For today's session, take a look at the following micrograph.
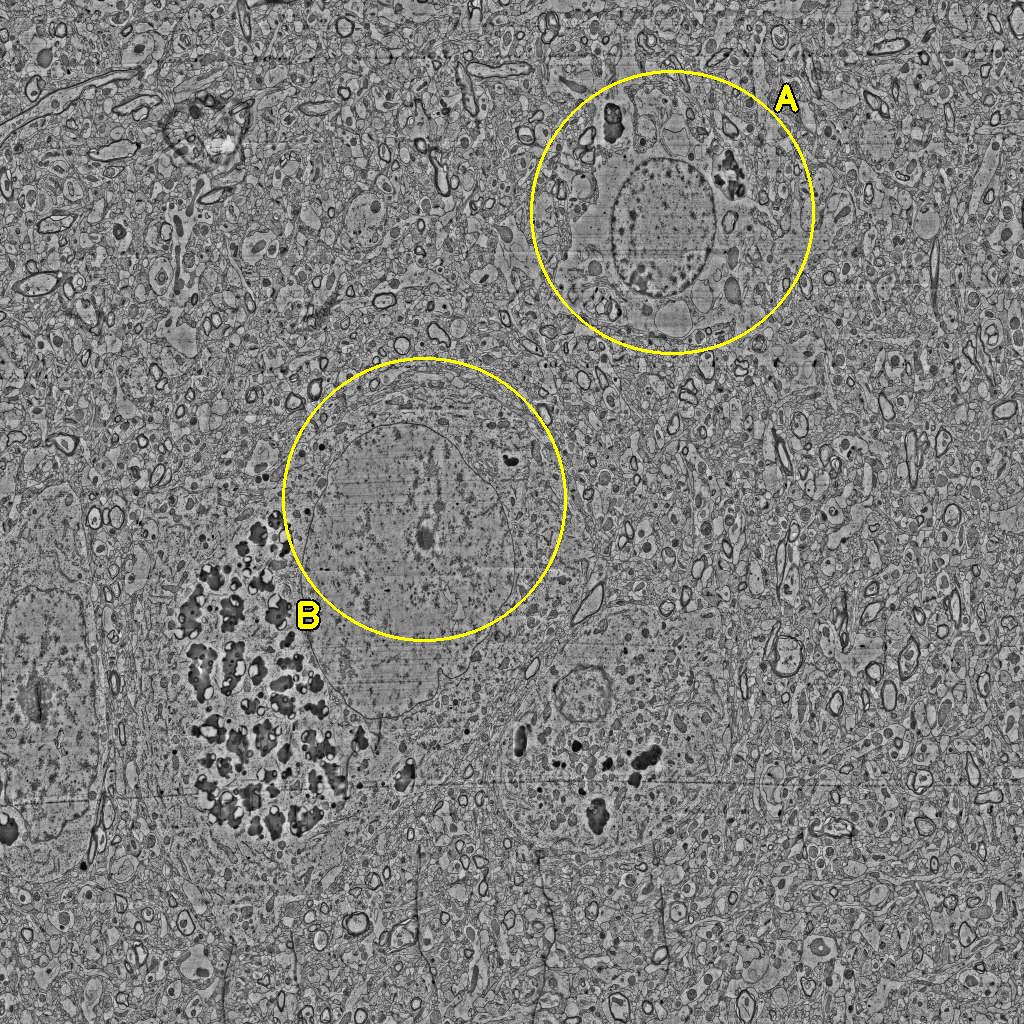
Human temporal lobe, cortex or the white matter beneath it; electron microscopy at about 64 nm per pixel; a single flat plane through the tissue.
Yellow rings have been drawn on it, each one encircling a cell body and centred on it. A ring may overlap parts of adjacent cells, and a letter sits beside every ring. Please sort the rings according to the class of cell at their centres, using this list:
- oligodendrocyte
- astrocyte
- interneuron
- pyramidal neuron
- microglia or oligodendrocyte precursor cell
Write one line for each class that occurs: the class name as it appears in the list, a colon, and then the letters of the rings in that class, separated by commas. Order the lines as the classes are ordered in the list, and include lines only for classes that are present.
astrocyte: A
pyramidal neuron: B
